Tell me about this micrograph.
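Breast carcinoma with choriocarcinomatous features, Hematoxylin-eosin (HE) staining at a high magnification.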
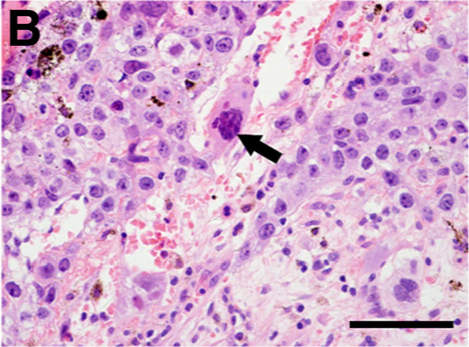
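This is a tumour made of a sheet of large epithelial cells, with a multinucleated giant cell near the centre. The tumour cells lie packed together without forming glands, and each has an oval nucleus with a clearly visible dark nucleolus and a moderate amount of pale pink-violet cytoplasm. Near the middle, beside a thin vessel holding red blood cells, lies a much larger cell whose nuclear material is dark, clumped and irregular, as if several nuclei were crowded together. Another large cell with a big nucleus appears at the lower right. Brown-black granules of old blood pigment are scattered at the upper left.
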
